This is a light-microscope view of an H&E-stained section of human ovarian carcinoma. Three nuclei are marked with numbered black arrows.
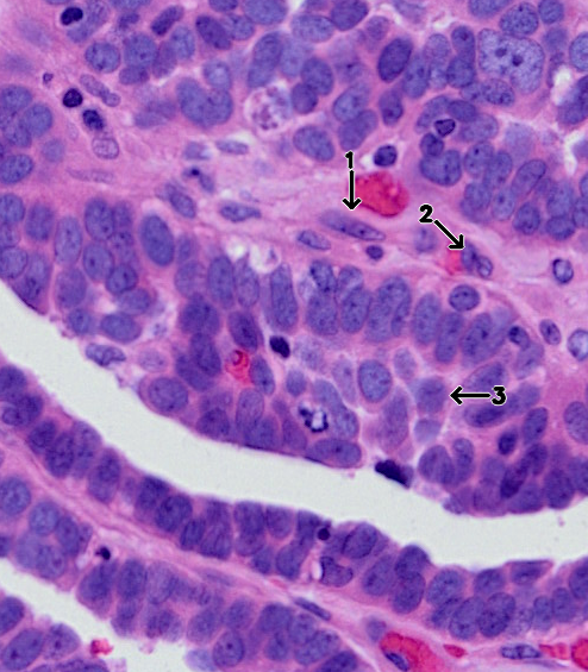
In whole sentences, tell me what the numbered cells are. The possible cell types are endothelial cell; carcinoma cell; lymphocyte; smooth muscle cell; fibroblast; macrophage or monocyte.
Cell 1 is an endothelial cell, cell 2 is an endothelial cell and cell 3 is a carcinoma cell.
